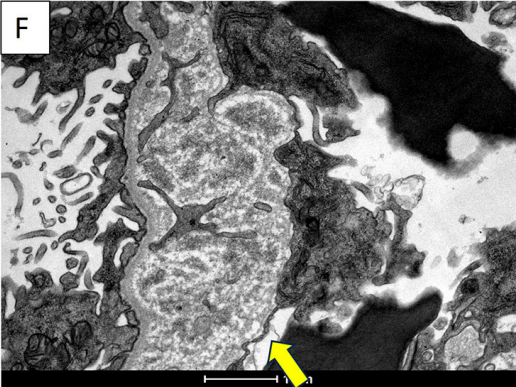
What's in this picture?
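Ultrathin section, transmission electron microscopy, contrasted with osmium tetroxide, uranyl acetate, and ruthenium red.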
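At higher magnification, a glomerular capillary wall shows a wide band of pale, loose material between the endothelial lining and the basement membrane. The endothelial lining facing the lumen is continuous, without pores. Podocyte foot processes sit on the outer side of the basement membrane, and dark red blood cells lie in the lumen.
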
